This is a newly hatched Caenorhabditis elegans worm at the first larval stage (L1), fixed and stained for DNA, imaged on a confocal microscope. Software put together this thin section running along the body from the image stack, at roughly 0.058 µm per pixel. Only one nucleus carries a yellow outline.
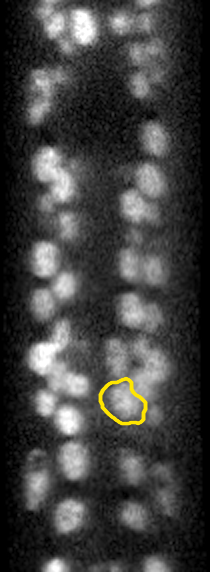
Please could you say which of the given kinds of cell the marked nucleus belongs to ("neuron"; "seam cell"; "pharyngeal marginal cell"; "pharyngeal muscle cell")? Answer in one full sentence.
The marked cell is a pharyngeal muscle cell.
